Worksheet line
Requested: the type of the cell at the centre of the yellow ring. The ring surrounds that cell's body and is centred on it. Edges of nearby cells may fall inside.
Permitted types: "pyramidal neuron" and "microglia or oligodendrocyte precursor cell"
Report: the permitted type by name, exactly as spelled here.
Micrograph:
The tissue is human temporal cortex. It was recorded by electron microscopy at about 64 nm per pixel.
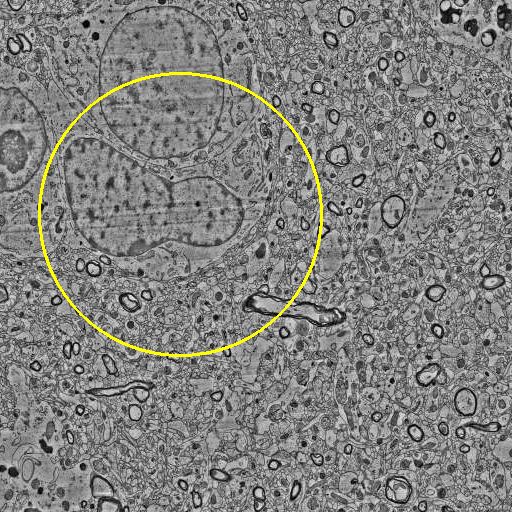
microglia or oligodendrocyte precursor cell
